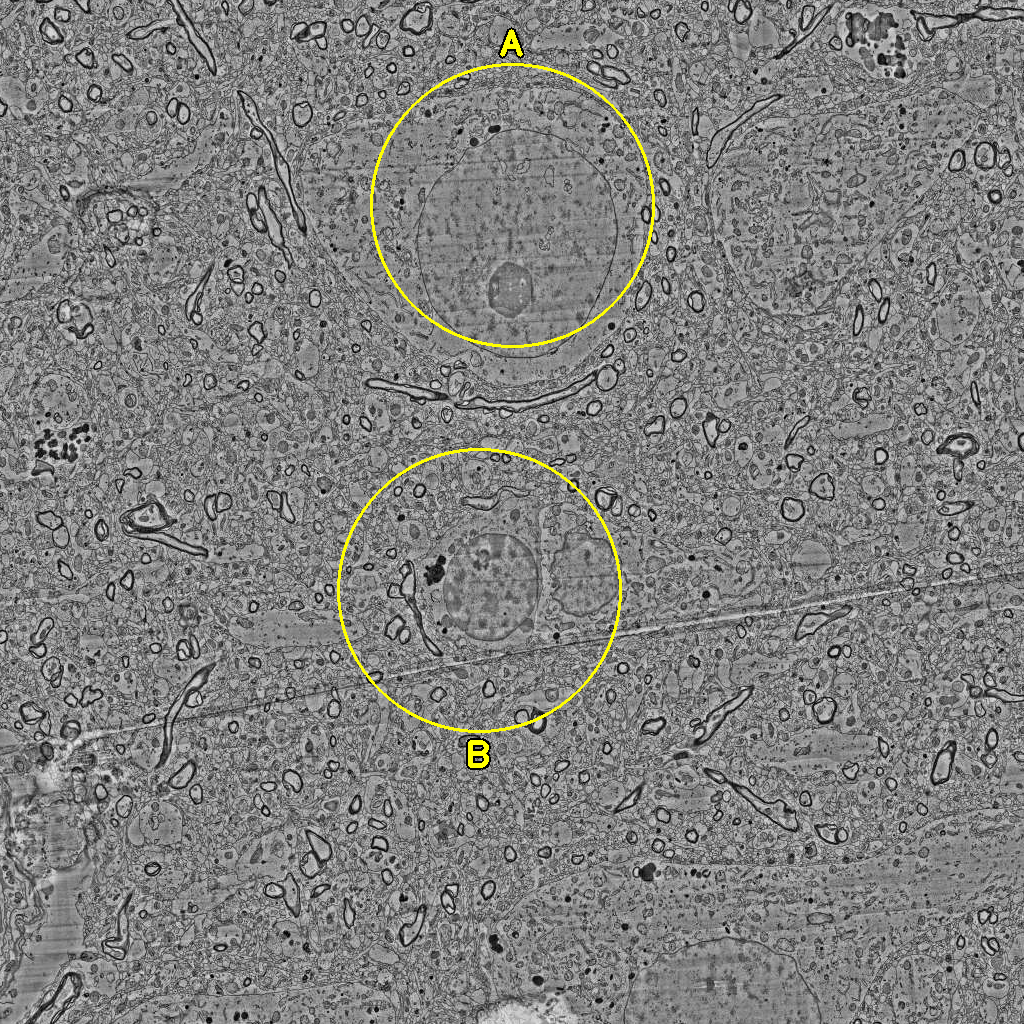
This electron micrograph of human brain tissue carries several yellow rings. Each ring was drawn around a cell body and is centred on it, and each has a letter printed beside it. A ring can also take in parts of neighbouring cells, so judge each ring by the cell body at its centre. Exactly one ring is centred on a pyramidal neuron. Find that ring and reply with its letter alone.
A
